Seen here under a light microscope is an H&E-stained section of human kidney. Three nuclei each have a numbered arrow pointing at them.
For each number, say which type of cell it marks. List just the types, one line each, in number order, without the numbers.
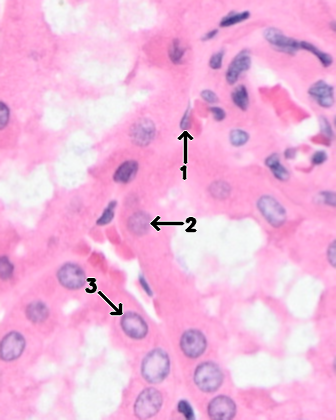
endothelial cell
proximal tubule cell
proximal tubule cell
